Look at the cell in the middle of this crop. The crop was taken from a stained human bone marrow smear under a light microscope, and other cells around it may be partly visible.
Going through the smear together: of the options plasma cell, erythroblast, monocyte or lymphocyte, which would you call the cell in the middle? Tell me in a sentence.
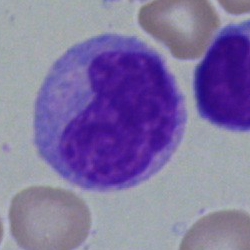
The cell shown in the center of this light-microscope crop is a monocyte.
